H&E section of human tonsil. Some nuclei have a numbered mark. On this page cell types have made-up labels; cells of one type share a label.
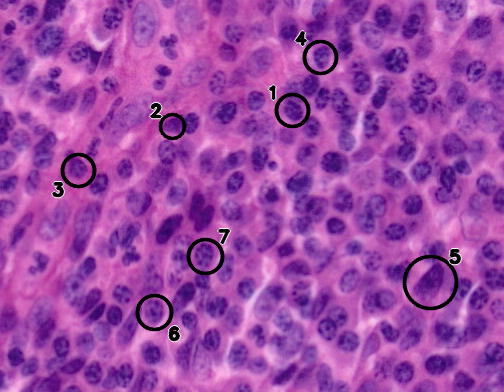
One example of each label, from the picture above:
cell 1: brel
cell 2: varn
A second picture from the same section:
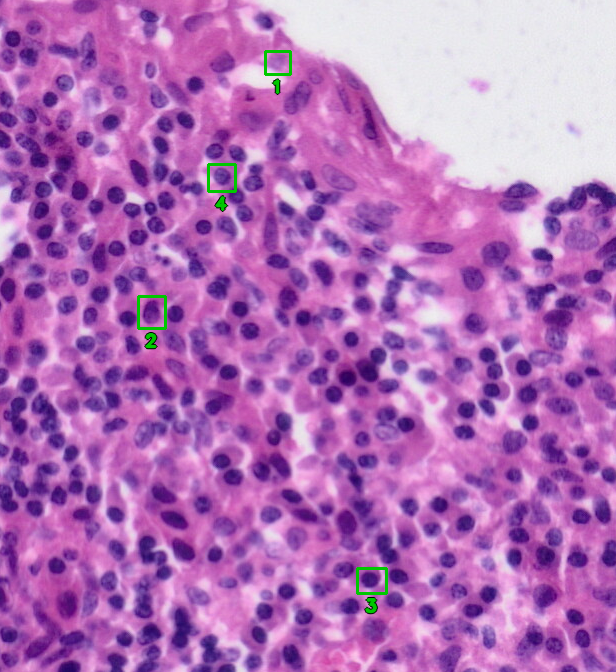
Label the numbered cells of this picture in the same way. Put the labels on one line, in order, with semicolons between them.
varn; brel; brel; brel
